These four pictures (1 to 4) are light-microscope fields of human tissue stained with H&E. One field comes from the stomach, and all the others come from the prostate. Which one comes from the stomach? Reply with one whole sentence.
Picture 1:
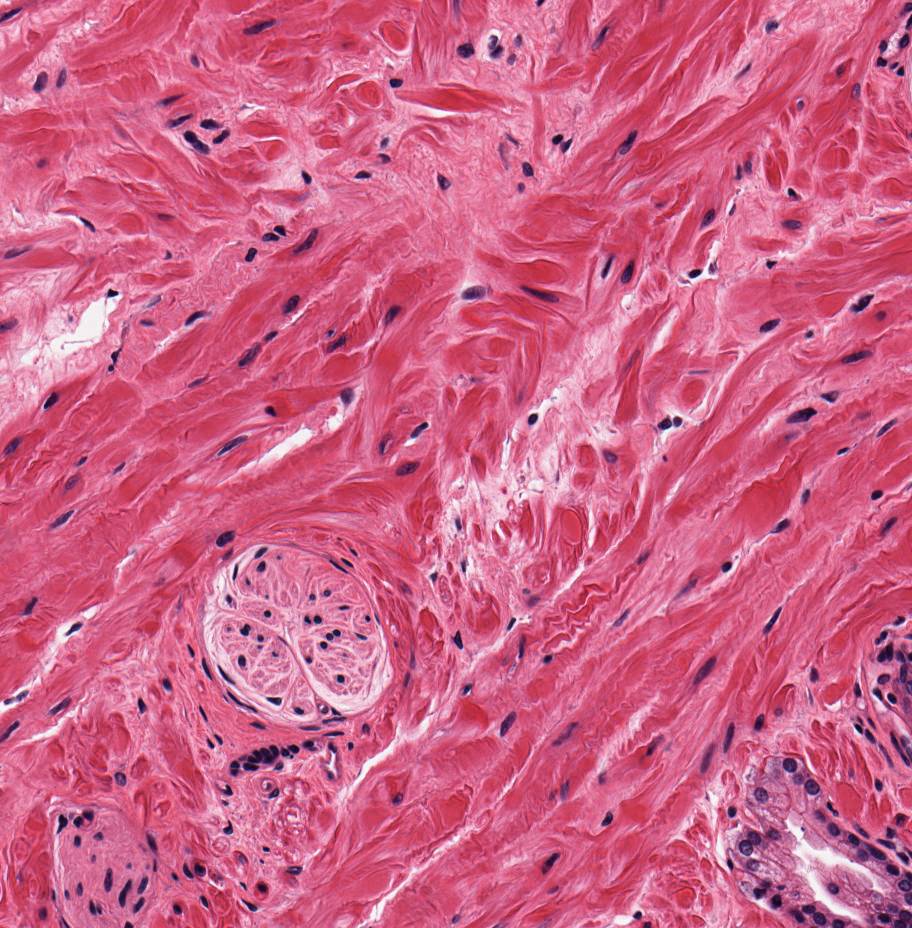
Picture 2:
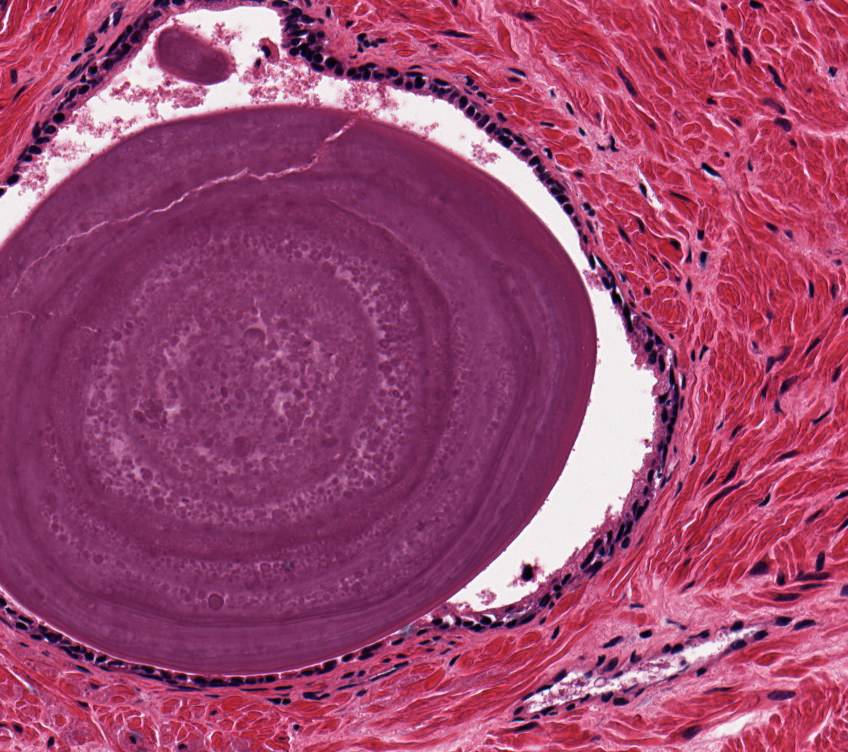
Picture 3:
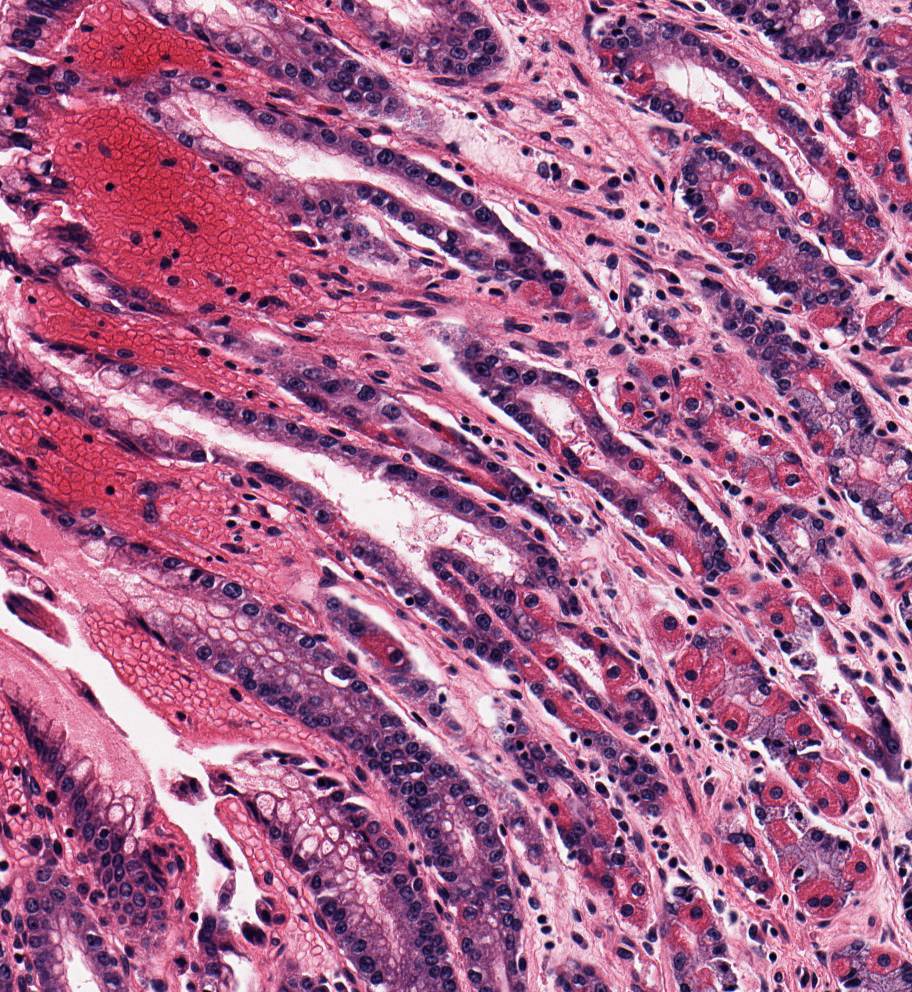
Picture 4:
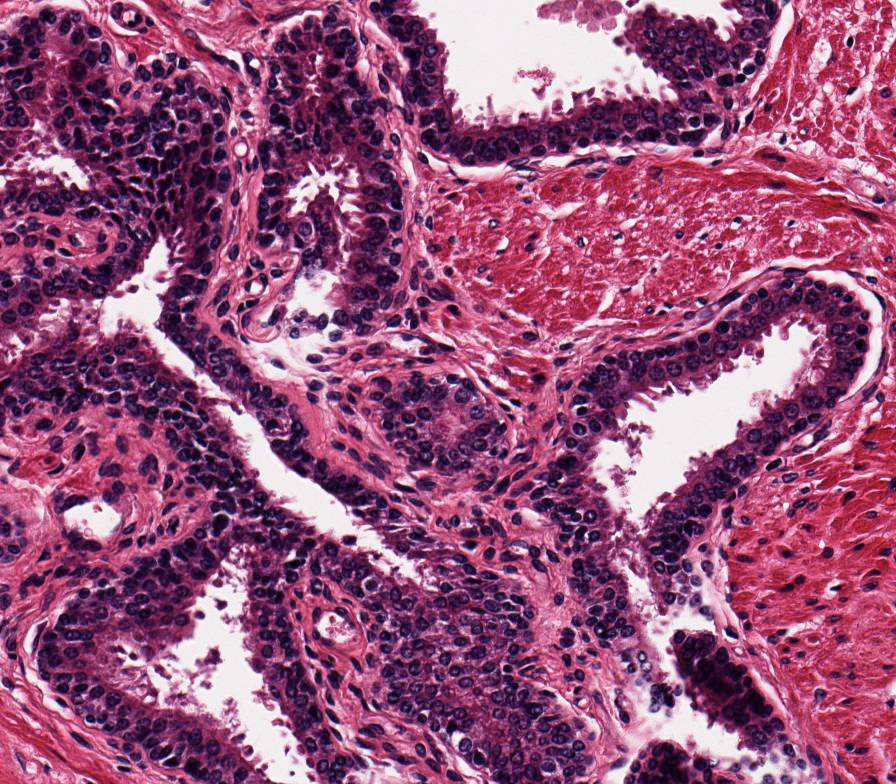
It is picture 3 that comes from the stomach.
